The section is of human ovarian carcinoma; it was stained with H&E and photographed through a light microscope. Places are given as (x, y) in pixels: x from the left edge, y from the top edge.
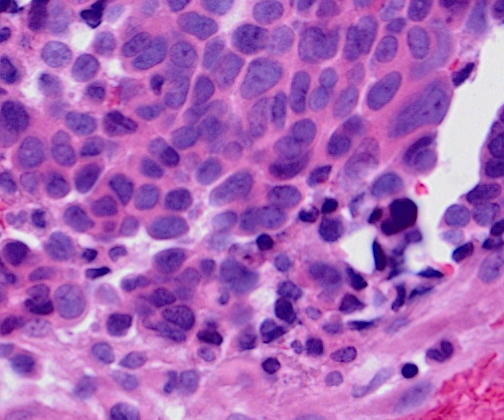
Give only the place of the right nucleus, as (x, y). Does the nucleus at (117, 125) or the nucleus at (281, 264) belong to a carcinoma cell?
(117, 125)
